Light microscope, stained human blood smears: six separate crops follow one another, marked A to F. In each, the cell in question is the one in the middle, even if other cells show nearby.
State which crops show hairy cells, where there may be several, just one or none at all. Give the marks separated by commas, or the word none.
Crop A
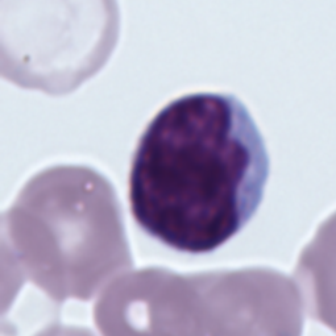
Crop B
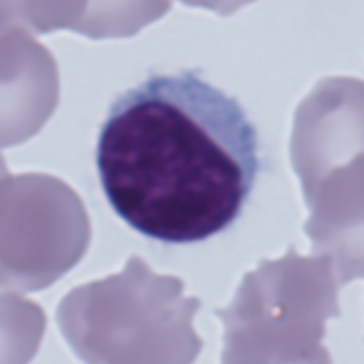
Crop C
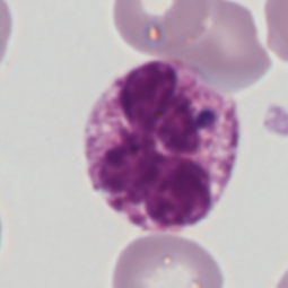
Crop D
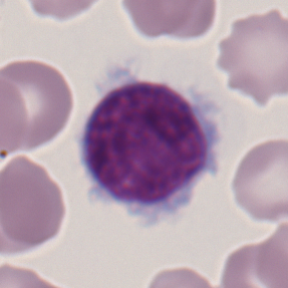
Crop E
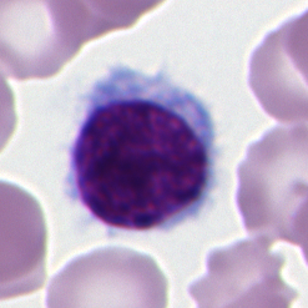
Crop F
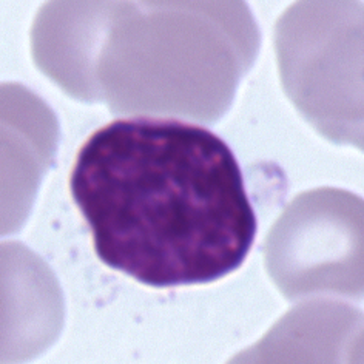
B, D, E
